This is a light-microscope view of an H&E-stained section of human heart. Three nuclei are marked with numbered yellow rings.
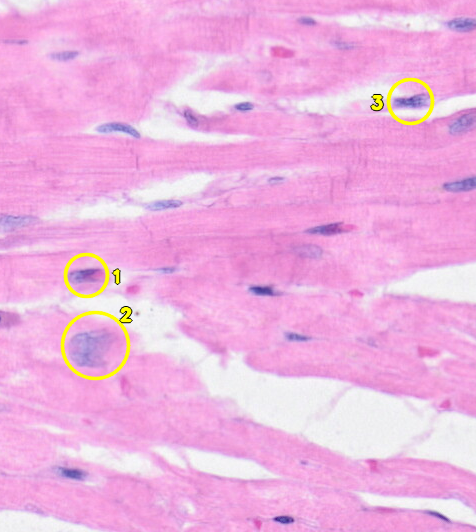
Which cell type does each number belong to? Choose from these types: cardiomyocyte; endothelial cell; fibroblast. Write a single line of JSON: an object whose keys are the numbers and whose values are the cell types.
{"1": "endothelial cell", "2": "cardiomyocyte", "3": "endothelial cell"}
